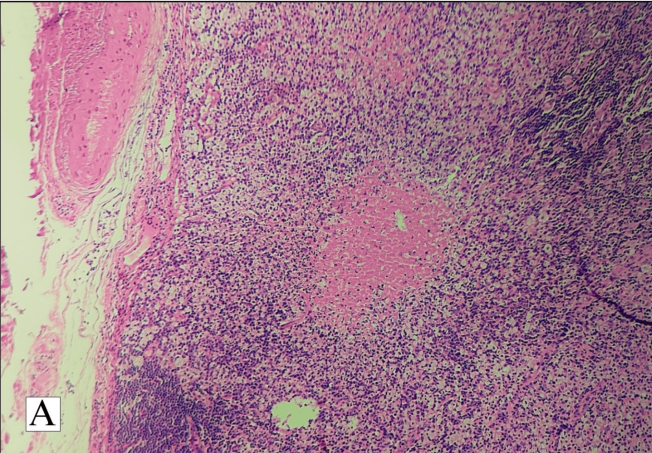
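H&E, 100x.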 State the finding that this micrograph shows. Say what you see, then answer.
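A pale pink, nearly cell-free patch lies in the middle of densely packed blue-staining cells. A thin fibrous capsule runs along the left edge of the tissue. That points to this answer: necrosis.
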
